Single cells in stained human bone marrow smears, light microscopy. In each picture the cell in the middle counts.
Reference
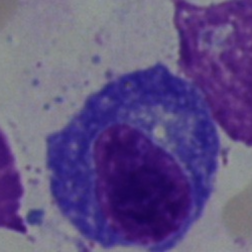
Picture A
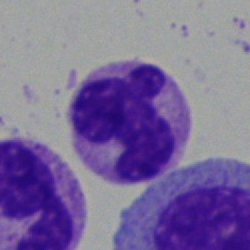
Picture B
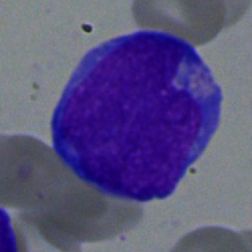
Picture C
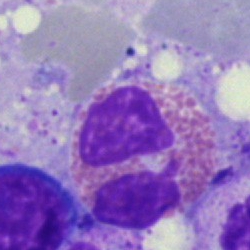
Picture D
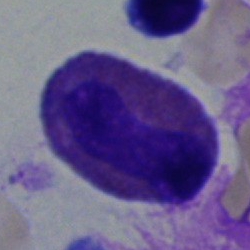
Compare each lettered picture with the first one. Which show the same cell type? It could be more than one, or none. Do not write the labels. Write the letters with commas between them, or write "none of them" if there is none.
none of them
